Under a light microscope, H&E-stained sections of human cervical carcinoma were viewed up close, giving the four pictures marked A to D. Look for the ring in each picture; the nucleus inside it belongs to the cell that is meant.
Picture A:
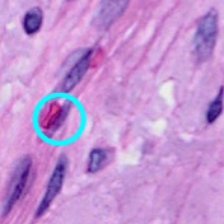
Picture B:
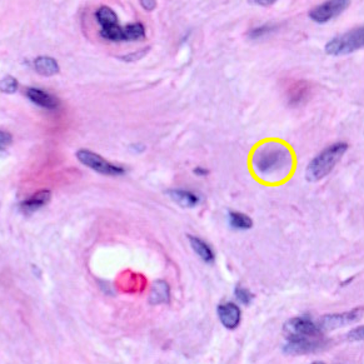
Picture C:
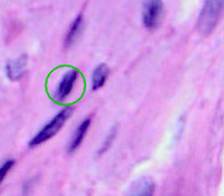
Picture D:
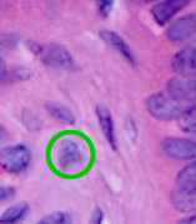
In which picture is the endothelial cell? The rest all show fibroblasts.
A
